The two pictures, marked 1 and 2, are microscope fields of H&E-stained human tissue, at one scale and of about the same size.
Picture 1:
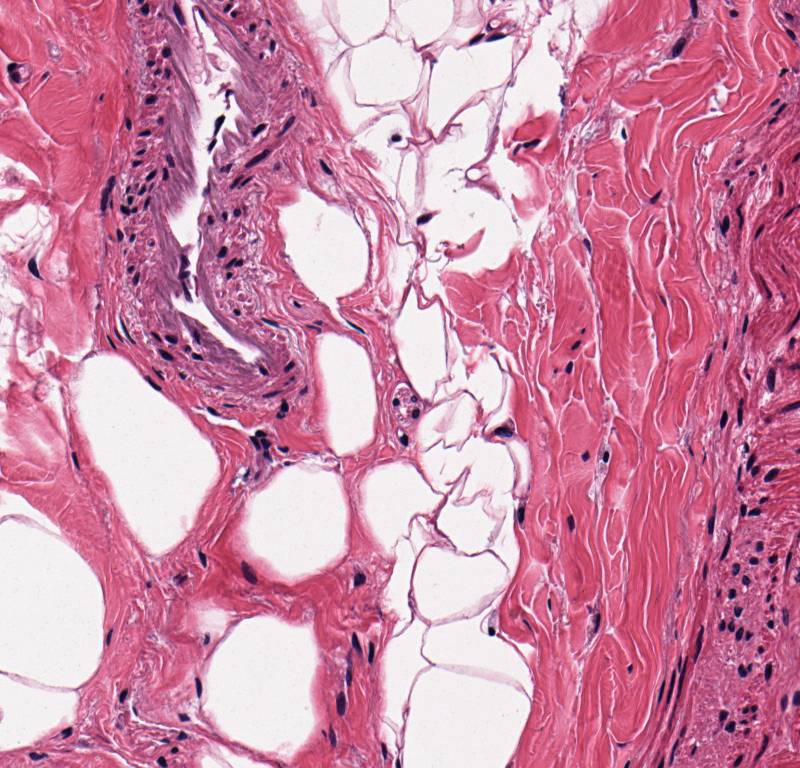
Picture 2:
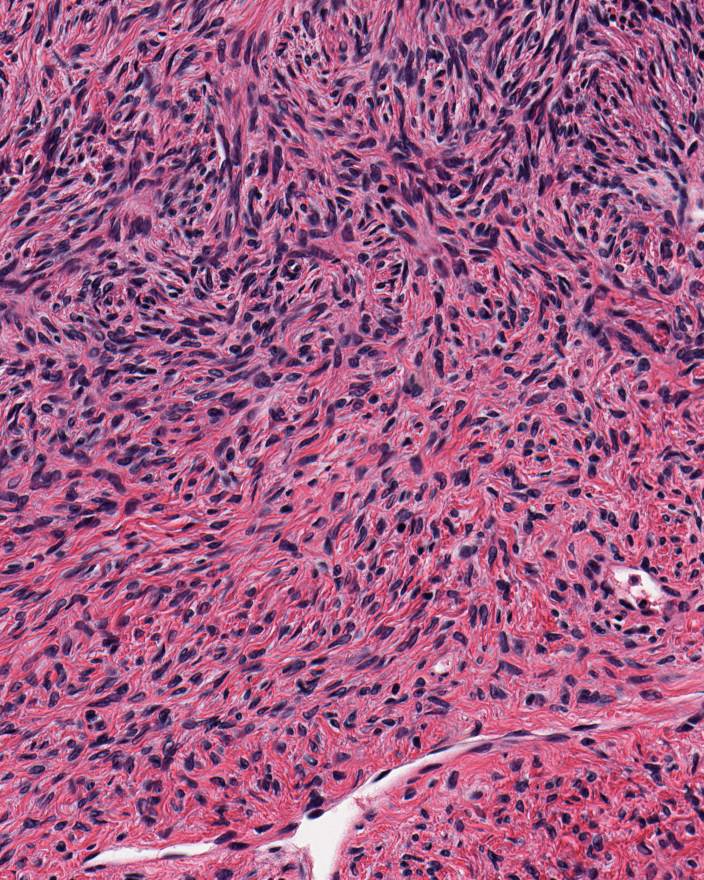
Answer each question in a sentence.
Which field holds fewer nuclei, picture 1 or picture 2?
Picture 1 holds fewer nuclei than picture 2.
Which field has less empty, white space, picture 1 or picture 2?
Less of picture 2 is empty and white.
